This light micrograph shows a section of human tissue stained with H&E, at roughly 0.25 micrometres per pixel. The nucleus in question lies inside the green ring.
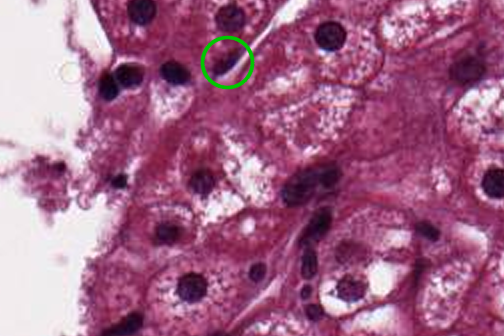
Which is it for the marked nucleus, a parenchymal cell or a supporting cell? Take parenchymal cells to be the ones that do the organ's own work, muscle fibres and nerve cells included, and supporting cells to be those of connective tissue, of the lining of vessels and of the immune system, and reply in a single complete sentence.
A supporting cell is the cell whose nucleus is marked.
